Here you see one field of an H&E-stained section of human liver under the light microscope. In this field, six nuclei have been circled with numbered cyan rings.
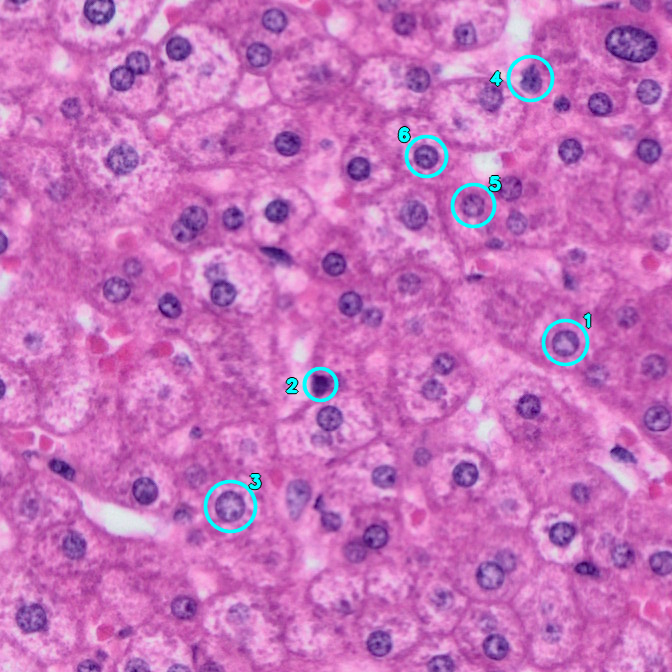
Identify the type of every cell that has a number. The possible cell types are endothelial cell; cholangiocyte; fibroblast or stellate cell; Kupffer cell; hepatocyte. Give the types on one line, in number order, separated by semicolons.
hepatocyte; fibroblast or stellate cell; hepatocyte; endothelial cell; hepatocyte; hepatocyte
